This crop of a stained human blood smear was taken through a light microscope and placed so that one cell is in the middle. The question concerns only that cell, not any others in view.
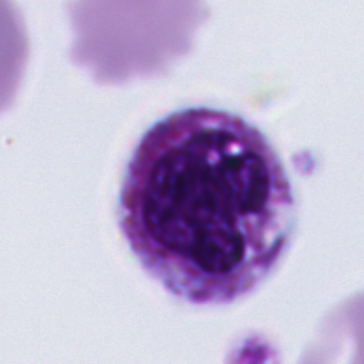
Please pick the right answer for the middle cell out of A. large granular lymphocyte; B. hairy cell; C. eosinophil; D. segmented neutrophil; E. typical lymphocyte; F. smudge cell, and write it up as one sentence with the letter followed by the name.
Option C is the right choice, the central cell being an eosinophil.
